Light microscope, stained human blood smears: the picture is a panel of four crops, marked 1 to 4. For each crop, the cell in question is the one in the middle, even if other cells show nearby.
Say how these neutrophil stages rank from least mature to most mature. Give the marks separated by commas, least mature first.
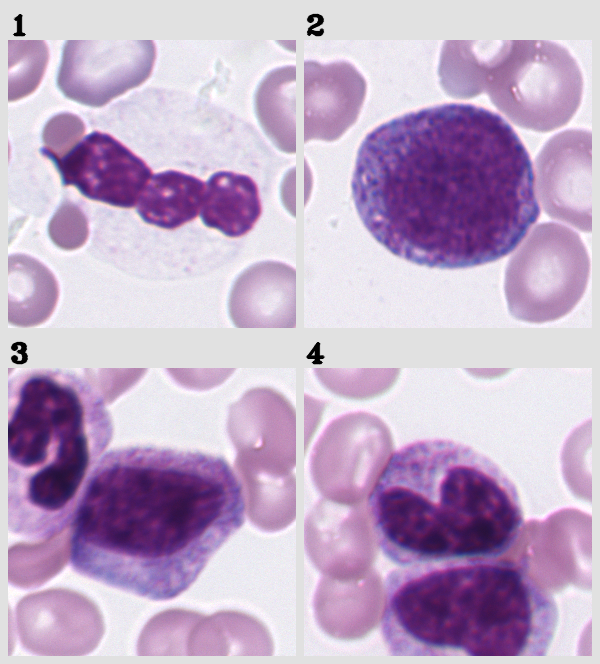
2, 3, 4, 1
